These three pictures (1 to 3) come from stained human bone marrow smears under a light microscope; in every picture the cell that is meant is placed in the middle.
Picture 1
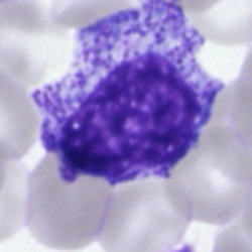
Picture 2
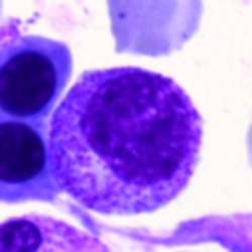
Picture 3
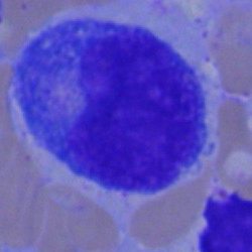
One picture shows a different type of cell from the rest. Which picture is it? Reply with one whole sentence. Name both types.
The others show myelocytes, but picture 3 shows a promyelocyte.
